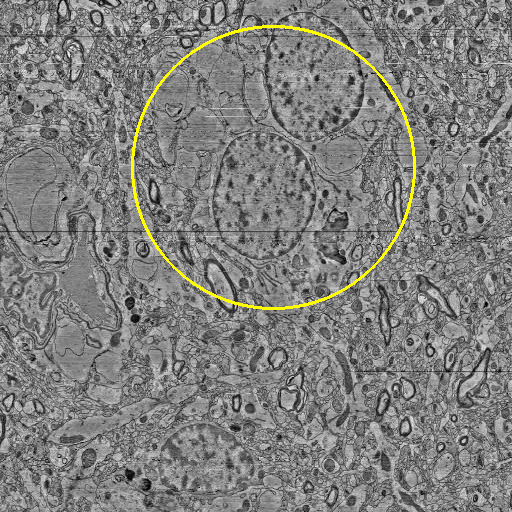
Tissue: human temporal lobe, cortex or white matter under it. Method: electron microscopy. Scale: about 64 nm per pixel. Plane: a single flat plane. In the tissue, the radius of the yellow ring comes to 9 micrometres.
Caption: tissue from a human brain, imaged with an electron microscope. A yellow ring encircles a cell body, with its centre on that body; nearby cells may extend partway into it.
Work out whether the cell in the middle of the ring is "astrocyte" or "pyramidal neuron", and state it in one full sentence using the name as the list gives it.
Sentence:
In the picture, the cell that the yellow ring surrounds at its centre is an astrocyte.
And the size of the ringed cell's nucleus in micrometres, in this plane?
In this plane the nucleus measures roughly 8 by 7 micrometres.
